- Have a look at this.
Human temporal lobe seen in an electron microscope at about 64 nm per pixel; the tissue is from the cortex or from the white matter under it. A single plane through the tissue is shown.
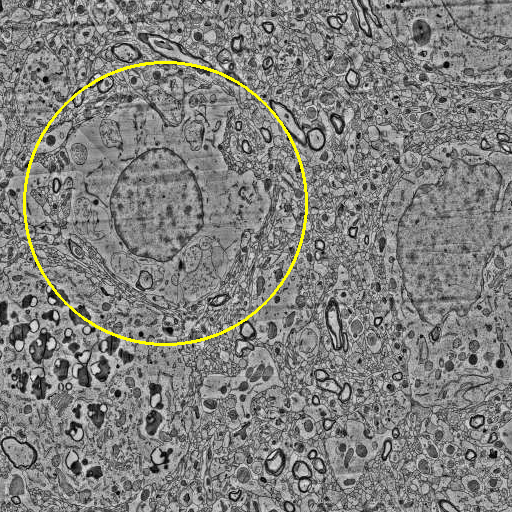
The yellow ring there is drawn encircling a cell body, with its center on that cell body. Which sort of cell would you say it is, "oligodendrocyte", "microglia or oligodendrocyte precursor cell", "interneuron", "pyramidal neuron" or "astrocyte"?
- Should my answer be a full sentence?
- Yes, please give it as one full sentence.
For this picture, an astrocyte is the cell where the yellow ring has its center.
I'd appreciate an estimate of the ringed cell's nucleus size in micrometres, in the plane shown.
The ringed cell's nucleus measures approximately 7 by 6 micrometres in this plane.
